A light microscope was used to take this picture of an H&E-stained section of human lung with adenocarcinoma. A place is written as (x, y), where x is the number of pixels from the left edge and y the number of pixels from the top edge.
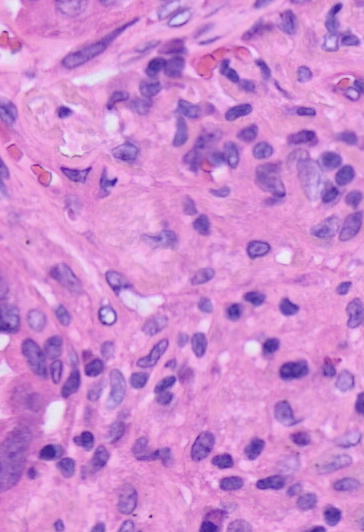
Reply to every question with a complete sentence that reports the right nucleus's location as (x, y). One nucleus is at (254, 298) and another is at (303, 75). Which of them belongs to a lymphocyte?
The nucleus situated at (254, 298) is the one belonging to a lymphocyte.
